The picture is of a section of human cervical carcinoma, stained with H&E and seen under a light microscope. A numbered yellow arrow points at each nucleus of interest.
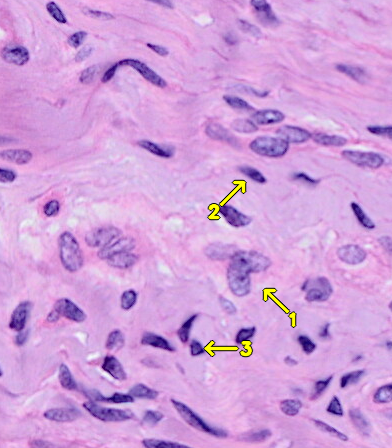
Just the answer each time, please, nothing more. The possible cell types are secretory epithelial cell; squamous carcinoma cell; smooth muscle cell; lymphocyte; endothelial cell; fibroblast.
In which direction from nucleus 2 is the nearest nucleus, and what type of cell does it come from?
an endothelial cell; above and to the right of nucleus 2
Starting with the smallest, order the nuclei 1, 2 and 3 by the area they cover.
3, 2, 1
